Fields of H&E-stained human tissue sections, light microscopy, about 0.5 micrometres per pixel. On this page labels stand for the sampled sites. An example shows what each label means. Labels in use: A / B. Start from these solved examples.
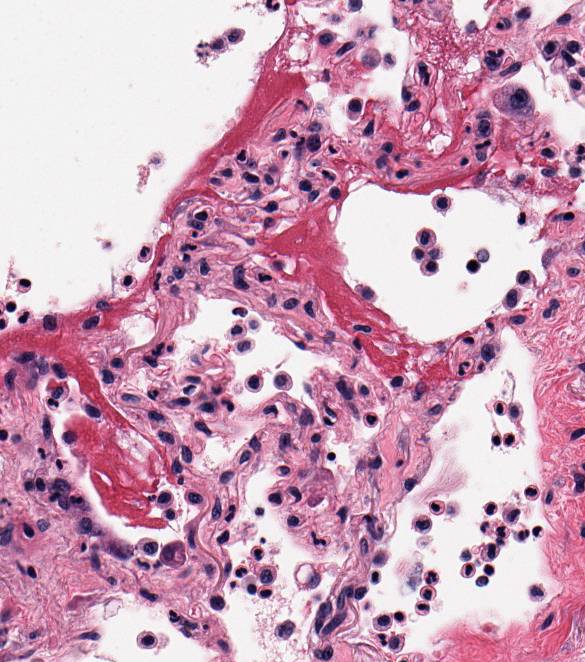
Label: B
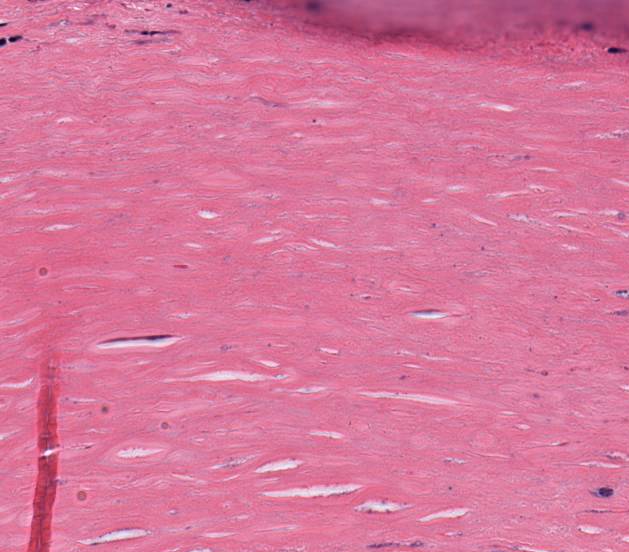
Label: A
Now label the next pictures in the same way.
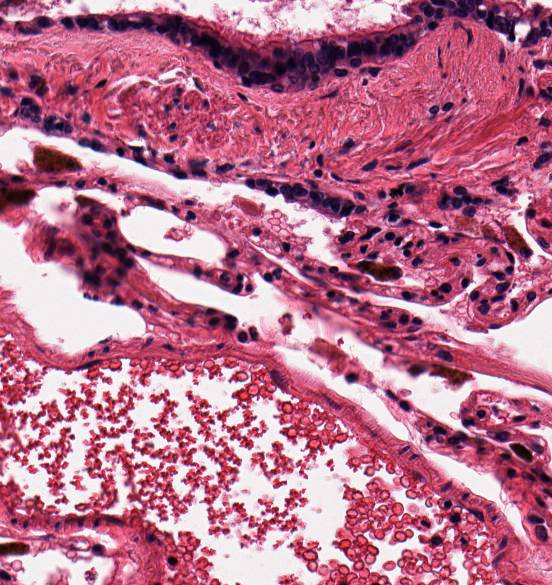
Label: B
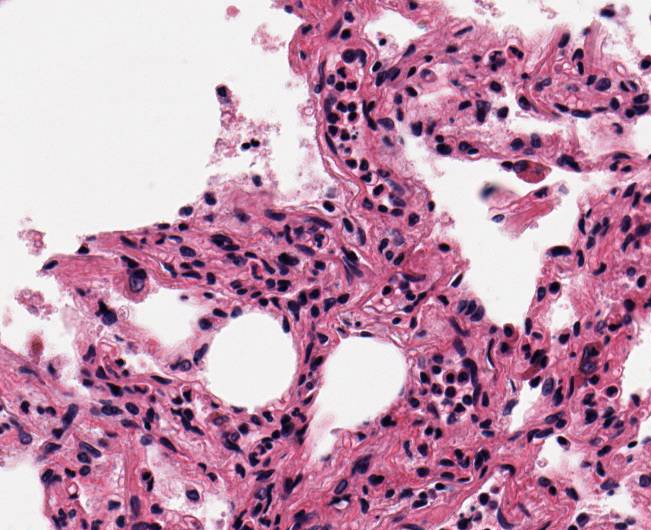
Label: B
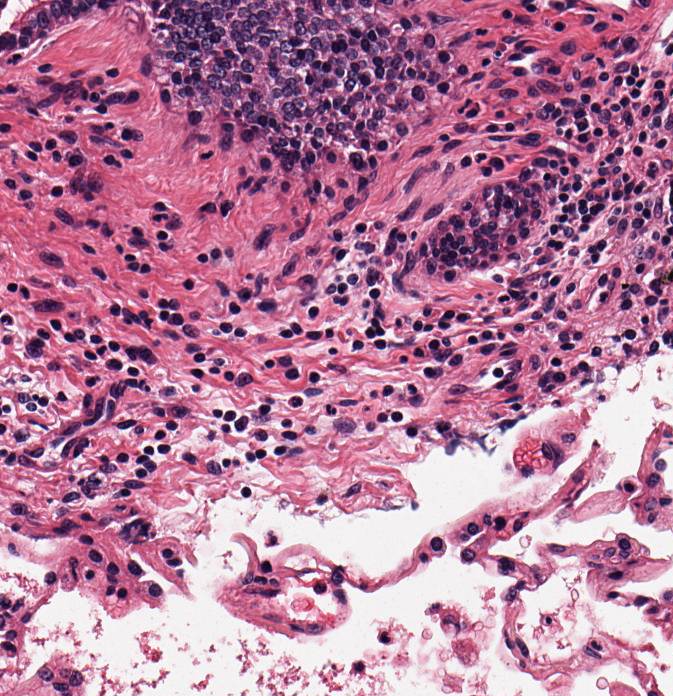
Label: B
